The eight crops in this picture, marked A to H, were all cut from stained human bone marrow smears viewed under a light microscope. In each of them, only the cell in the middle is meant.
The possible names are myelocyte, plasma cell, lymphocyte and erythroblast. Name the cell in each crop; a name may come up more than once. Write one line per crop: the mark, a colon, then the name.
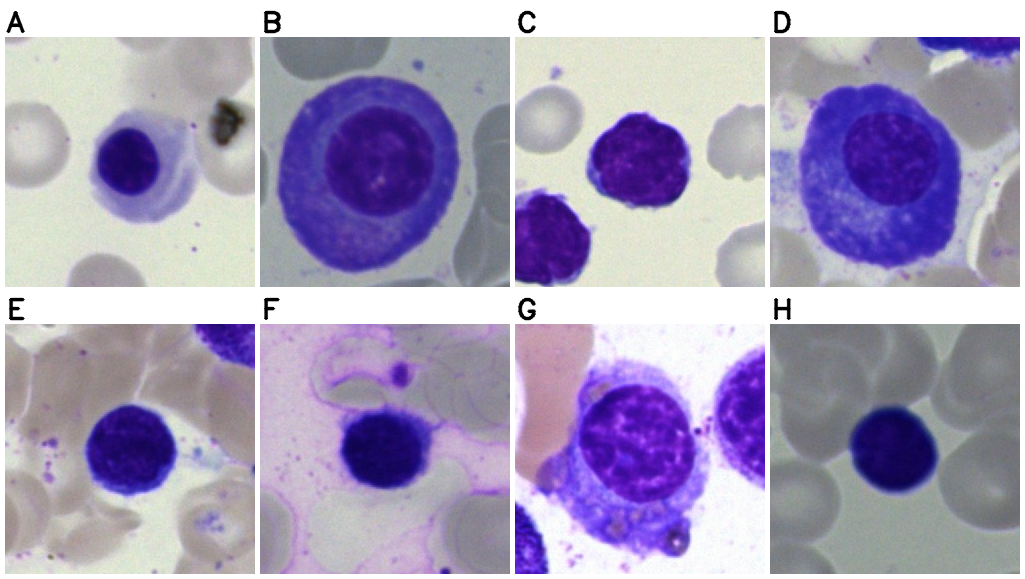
A: erythroblast
B: plasma cell
C: lymphocyte
D: plasma cell
E: lymphocyte
F: lymphocyte
G: plasma cell
H: lymphocyte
